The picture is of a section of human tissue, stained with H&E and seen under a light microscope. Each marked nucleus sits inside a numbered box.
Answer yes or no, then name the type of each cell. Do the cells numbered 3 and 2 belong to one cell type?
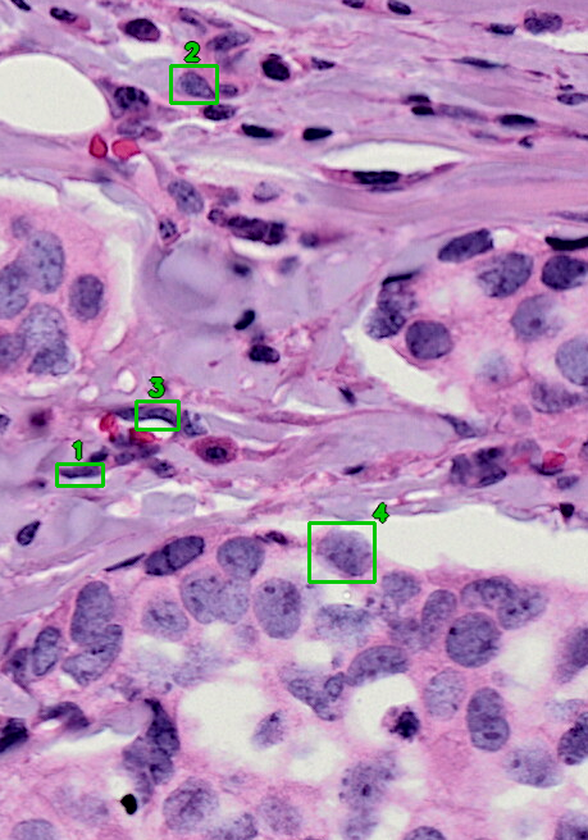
Yes, the two numbered cells, 3 and 2, are both endothelial cells.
